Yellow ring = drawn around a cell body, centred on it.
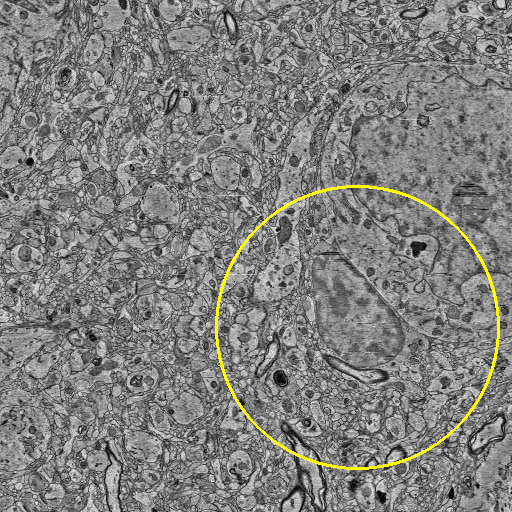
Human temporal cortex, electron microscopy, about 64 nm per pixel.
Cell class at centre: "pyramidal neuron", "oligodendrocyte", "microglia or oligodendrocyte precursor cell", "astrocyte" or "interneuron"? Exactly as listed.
oligodendrocyte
